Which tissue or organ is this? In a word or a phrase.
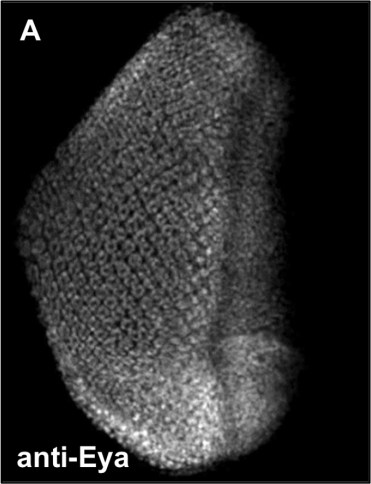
Larval eye imaginal disc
